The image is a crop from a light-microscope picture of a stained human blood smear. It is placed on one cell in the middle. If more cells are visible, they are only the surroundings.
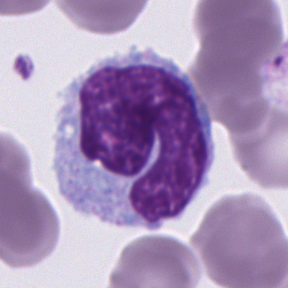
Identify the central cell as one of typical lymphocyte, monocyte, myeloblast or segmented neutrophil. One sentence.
Looking at the middle of the crop, the cell there is a monocyte.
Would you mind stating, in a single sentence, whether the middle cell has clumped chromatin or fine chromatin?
Check the chromatin: it is fine and not coarsely clumped.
